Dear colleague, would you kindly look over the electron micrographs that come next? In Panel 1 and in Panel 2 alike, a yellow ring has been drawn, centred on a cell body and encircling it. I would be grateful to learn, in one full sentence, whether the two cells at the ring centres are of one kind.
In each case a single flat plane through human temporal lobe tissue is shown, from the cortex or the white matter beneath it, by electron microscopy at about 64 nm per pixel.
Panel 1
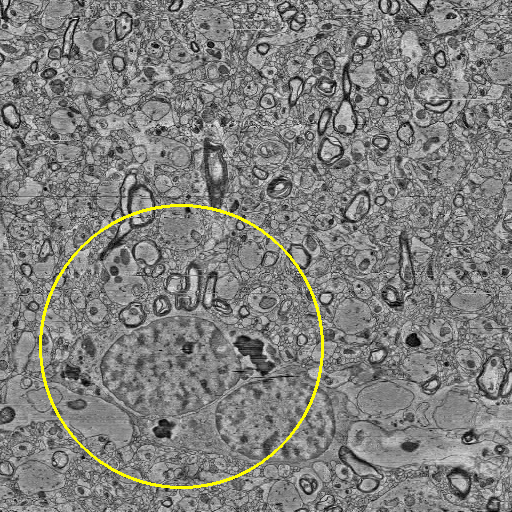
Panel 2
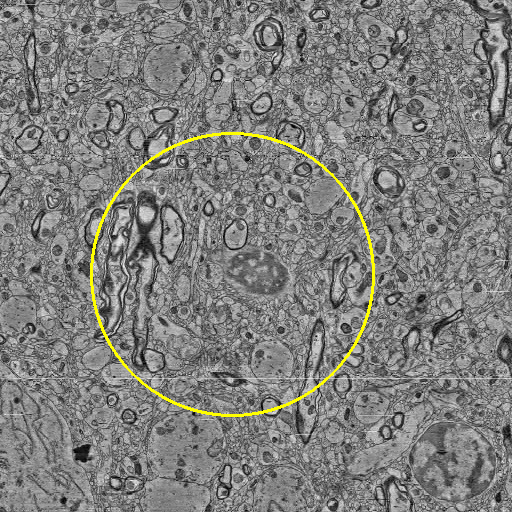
Yes, the cells in the middle of the rings in the two panels are of one kind.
